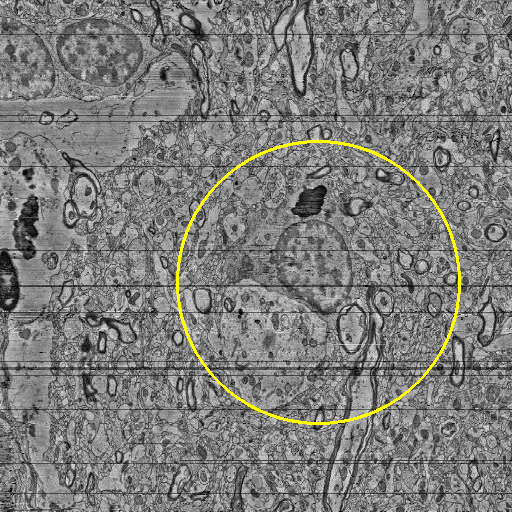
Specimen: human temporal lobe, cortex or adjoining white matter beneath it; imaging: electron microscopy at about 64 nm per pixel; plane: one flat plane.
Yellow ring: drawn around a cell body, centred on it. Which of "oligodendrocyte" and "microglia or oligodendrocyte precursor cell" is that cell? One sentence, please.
That cell body is from an oligodendrocyte.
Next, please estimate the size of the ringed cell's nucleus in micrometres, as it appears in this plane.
About 6 by 5 micrometers, in this plane.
